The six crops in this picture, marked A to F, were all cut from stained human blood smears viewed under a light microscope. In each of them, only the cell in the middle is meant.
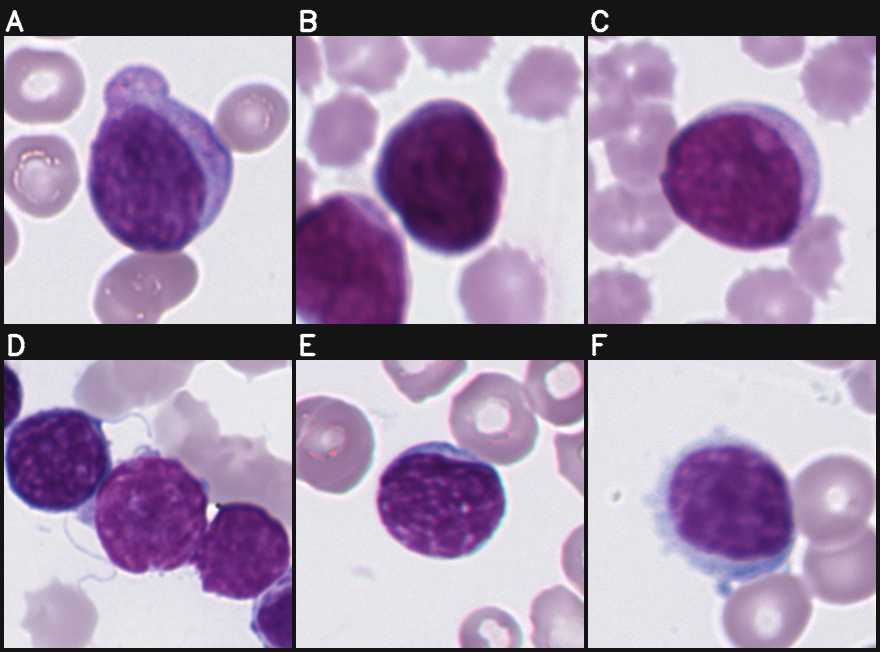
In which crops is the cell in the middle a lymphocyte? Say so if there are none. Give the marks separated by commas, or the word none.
E, F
